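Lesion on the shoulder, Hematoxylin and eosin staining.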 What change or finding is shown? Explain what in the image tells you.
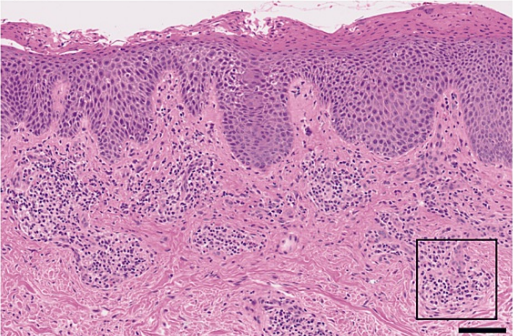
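Dense clusters of small dark purple nuclei sit in the upper dermis below the epidermis. The clusters gather around small vessels rather than spreading evenly through the dermis.
Answer: Superficial perivascular inflammatory infiltrate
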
